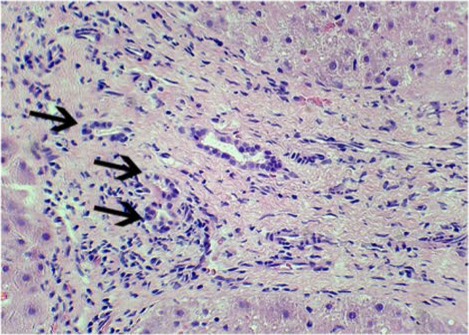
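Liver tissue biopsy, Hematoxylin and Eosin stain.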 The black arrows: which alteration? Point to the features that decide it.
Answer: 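The arrows point to small clusters of cells with dark, crowded nuclei. These clusters lie within pink fibrous tissue of a widened portal area. That points to this answer: bile duct hyperplasia.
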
